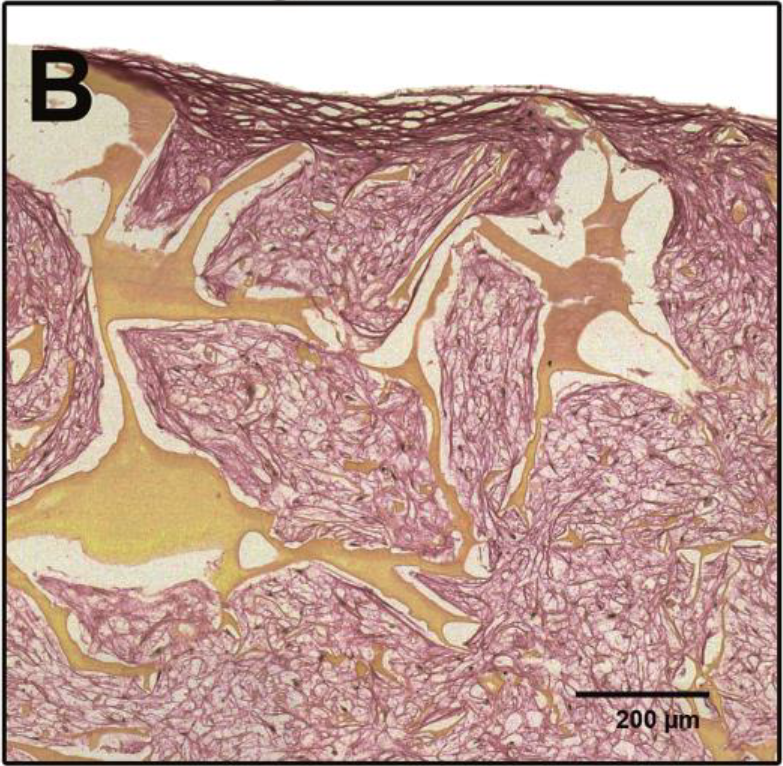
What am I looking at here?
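The matrix forms a meshwork of fine interwoven fibres with small dark purple nuclei scattered through it. Along the top surface a denser, darker pink layer of flattened fibres covers the scaffold, and some gaps separate the matrix from the struts.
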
